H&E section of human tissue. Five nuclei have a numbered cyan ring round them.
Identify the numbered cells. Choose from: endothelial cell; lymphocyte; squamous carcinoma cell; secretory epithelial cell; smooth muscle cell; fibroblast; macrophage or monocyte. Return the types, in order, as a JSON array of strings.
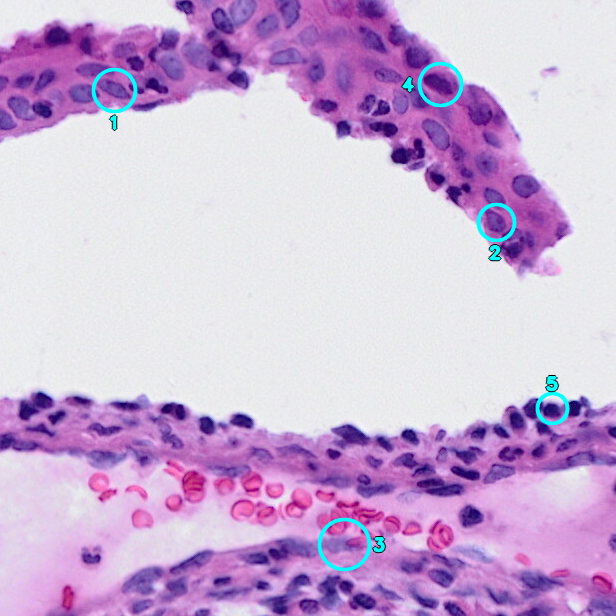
["secretory epithelial cell", "secretory epithelial cell", "endothelial cell", "secretory epithelial cell", "lymphocyte"]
